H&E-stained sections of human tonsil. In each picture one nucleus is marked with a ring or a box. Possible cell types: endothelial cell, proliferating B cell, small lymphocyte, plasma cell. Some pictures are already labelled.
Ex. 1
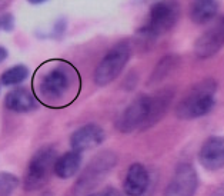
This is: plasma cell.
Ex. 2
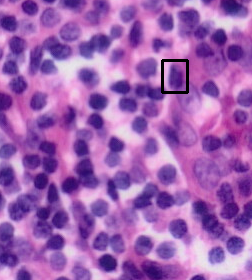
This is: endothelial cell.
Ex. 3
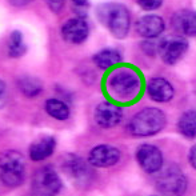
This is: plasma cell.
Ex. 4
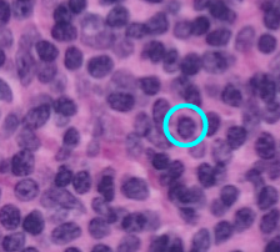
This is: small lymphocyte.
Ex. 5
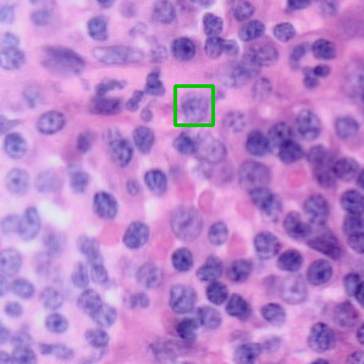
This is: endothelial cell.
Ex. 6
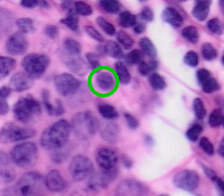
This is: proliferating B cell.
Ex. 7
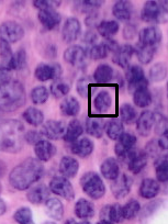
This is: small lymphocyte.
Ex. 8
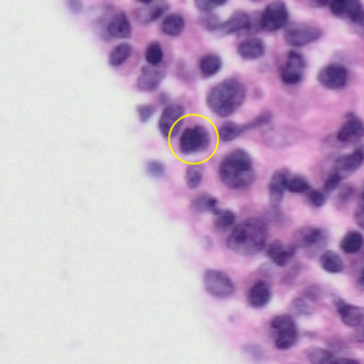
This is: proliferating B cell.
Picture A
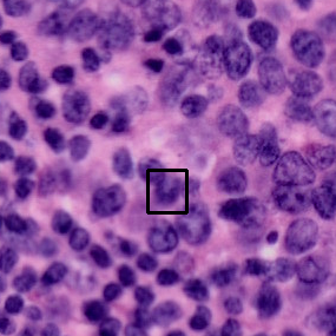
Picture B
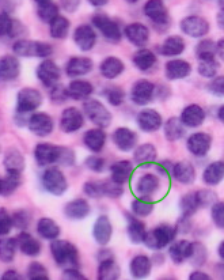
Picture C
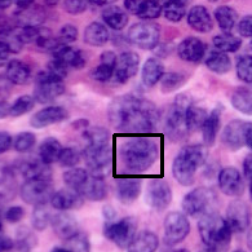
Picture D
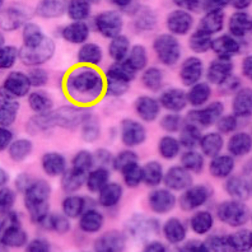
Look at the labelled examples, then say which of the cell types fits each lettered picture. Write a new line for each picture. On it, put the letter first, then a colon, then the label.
A: proliferating B cell.
B: small lymphocyte.
C: proliferating B cell.
D: small lymphocyte.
